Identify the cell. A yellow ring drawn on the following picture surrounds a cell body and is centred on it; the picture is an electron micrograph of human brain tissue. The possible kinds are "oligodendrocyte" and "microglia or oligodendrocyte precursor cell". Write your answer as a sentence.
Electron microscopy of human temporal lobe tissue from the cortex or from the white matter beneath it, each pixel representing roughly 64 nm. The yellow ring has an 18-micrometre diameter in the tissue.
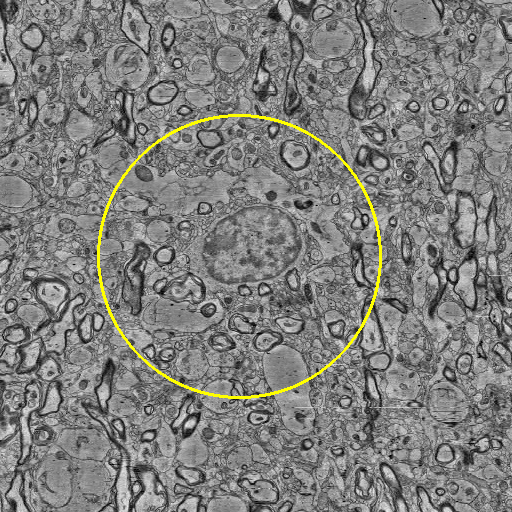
The cell identified by the ring is an oligodendrocyte.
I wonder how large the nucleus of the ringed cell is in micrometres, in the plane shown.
Approximately 6 by 5 micrometers in this plane.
